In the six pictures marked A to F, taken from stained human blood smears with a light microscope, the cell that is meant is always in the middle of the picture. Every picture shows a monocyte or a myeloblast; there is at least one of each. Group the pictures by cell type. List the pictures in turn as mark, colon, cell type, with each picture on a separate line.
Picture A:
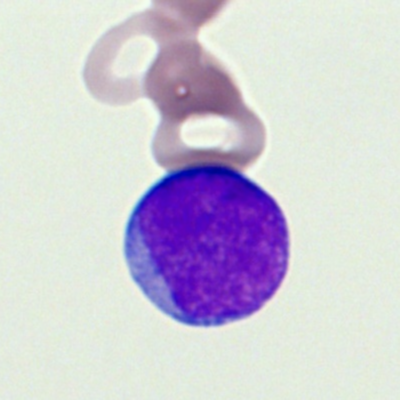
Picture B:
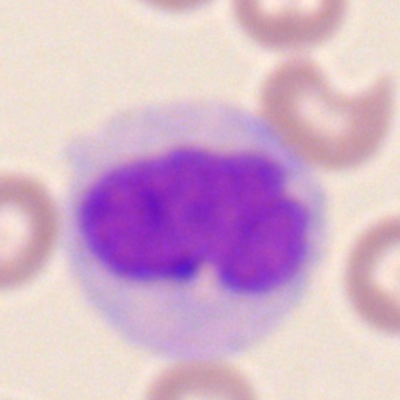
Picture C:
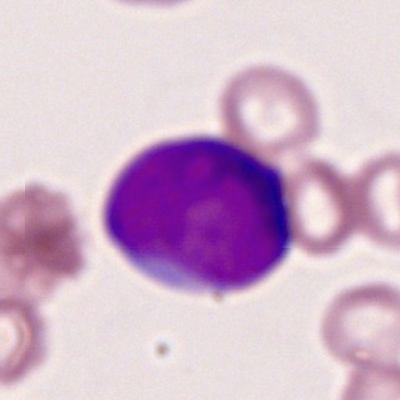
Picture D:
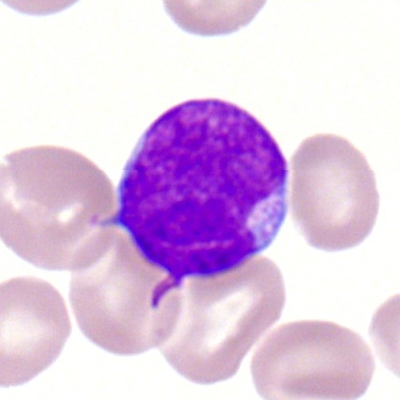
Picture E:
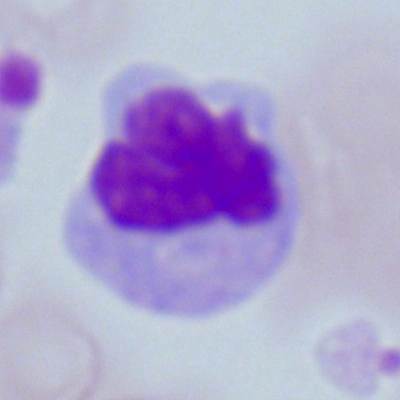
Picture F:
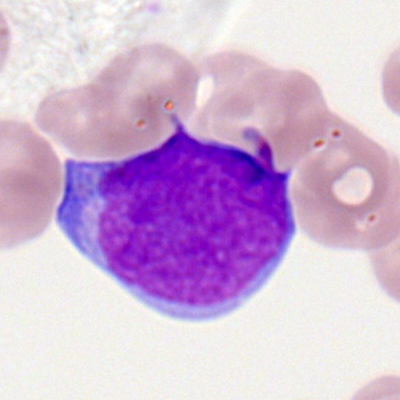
A: myeloblast
B: monocyte
C: myeloblast
D: myeloblast
E: monocyte
F: myeloblast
